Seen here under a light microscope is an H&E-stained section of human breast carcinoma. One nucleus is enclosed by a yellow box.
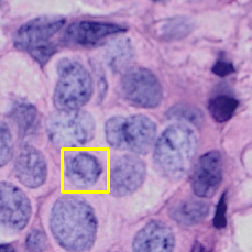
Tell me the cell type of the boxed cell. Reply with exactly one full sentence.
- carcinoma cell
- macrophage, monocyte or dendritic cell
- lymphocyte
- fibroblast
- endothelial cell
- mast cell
In cell-type terms, the boxed cell is a carcinoma cell.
